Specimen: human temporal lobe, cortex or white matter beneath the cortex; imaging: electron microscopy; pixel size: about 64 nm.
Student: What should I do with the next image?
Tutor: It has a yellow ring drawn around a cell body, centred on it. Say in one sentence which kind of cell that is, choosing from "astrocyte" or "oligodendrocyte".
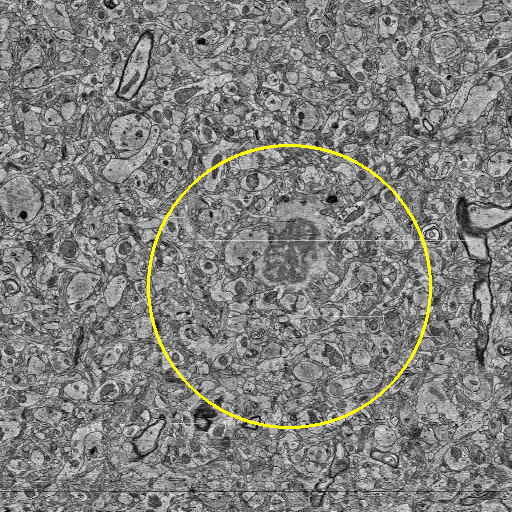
The ring's centre is occupied by an oligodendrocyte.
